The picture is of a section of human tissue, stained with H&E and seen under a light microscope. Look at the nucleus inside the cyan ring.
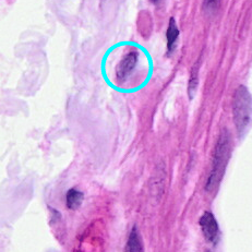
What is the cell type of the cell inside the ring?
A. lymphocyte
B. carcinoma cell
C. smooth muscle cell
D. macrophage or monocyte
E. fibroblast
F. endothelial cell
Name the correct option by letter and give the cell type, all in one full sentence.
In agreement with option E, the cell inside the ring is a fibroblast.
